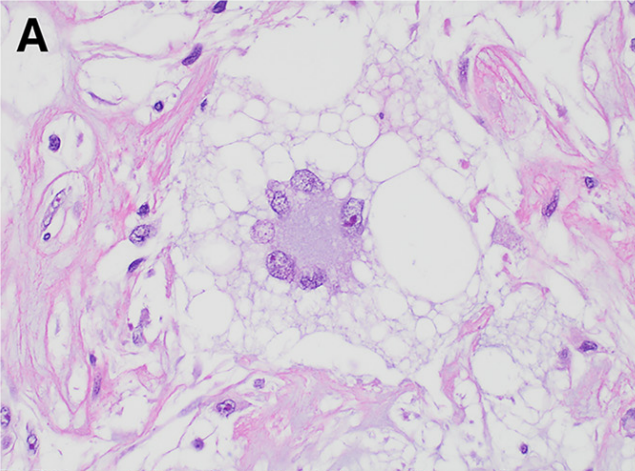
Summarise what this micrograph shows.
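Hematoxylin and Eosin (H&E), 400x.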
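In the middle lies a large multinucleated giant cell whose nuclei form a wreath around a central island of dense, pale purple cytoplasm. Outside the wreath the cytoplasm becomes foamy, with many small clear vacuoles, and it merges with larger clear spaces that look like fat. The nuclei in the ring are round and vesicular, with visible nucleoli. Around it lie scattered smaller cells with oval nuclei, pink collagen strands and small vessels in a loose stroma. The ring of nuclei with a foamy outer rim is the picture of a Touton-type giant cell.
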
